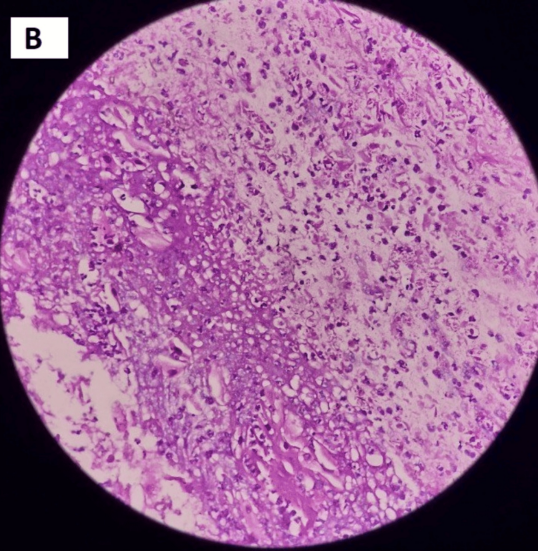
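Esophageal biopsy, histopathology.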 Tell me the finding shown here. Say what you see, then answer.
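Neutrophilic infiltration. Many small cells with dark, irregular nuclei are scattered densely through the tissue. The background tissue is pale, loose and vacuolated.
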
